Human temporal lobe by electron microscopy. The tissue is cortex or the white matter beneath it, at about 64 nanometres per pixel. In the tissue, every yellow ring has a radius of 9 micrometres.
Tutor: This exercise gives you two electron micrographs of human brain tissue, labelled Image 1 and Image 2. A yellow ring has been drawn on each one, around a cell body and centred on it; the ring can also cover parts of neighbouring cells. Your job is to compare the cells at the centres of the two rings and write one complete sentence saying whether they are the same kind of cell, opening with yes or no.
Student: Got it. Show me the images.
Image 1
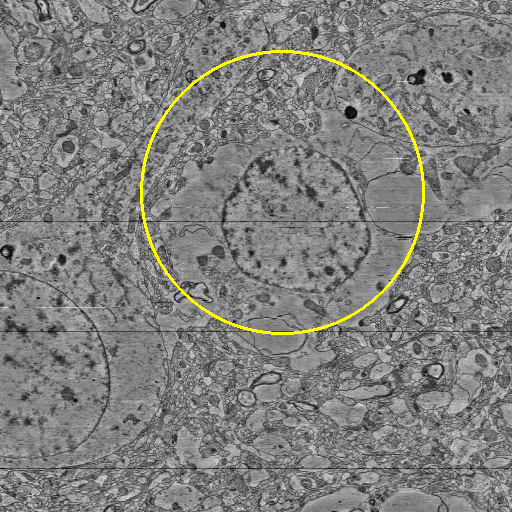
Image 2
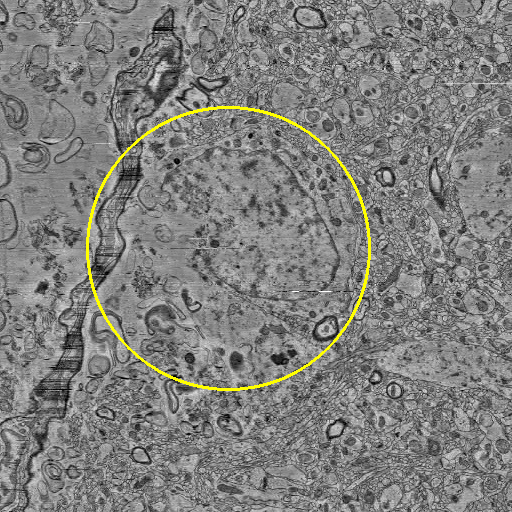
No, the two cells belong to two kinds.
